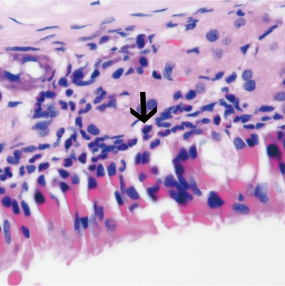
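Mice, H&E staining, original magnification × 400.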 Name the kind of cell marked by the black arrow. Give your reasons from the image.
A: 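Eosinophils. The arrow points at a single cell in the connective tissue beneath the epithelium. Many small dark-nucleated cells crowd the tissue beneath the epithelium.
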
